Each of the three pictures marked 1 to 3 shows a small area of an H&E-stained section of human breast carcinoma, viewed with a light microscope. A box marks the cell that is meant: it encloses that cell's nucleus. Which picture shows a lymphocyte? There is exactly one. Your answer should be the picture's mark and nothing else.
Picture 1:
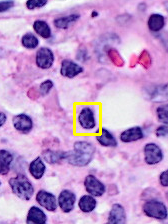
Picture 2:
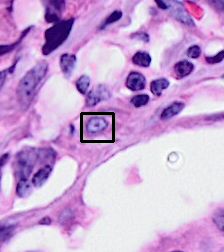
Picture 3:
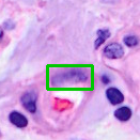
1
